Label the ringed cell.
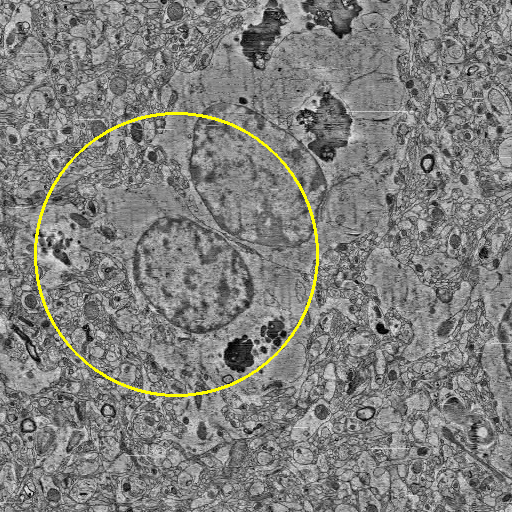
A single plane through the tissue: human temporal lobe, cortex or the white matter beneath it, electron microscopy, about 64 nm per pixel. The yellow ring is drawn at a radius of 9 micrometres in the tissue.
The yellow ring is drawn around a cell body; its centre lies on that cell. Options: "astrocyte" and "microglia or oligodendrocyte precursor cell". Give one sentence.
The ringed cell is an astrocyte.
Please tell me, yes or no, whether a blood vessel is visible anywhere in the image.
Yes.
